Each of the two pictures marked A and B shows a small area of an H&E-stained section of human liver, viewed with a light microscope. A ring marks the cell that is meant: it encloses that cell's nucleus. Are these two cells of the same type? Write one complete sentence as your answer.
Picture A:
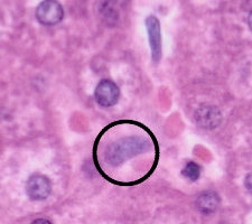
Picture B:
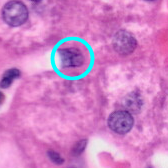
No, they differ: the cell is a Kupffer cell in picture A and an endothelial cell in picture B.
